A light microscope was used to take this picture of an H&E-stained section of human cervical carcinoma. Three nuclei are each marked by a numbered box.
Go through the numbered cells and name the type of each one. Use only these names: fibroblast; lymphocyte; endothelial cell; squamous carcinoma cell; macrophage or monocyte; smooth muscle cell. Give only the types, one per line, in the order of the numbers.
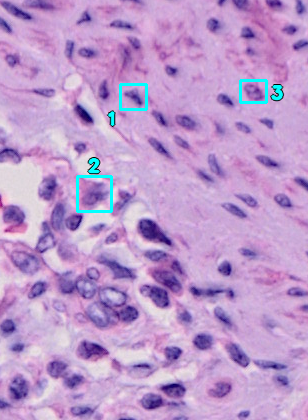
fibroblast
macrophage or monocyte
smooth muscle cell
